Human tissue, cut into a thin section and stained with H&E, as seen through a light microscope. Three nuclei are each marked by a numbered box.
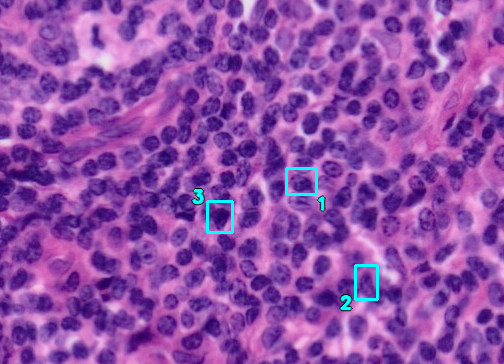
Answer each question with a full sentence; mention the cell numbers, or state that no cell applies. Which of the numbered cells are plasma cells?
Cell 2 is a plasma cell; the remaining numbered cells are not.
